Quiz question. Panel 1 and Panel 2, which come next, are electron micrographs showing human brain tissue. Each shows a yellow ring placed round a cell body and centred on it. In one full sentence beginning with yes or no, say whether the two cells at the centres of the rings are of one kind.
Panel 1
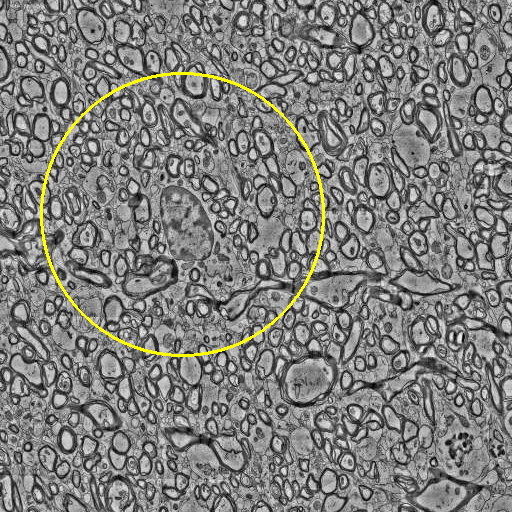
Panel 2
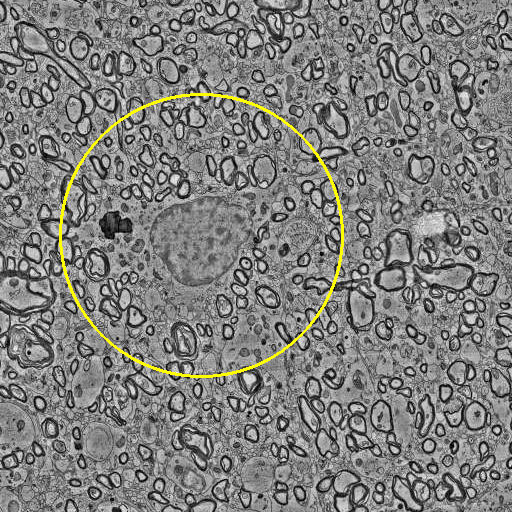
No, Panel 1 and Panel 2 show two kinds of cell at the centre of the ring.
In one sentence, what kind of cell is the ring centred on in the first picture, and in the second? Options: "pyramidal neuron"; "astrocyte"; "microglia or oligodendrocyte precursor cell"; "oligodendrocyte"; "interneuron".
The cell at the centre of the second ring is an oligodendrocyte; the first ring's cell is a microglial cell or oligodendrocyte precursor cell.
